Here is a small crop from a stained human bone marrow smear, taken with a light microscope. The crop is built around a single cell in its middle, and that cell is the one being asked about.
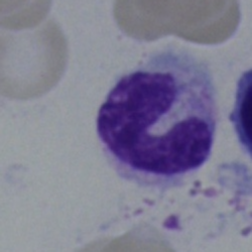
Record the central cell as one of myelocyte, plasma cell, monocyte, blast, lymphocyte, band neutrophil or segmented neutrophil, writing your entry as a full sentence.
Within this crop, a band neutrophil occupies the central position.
